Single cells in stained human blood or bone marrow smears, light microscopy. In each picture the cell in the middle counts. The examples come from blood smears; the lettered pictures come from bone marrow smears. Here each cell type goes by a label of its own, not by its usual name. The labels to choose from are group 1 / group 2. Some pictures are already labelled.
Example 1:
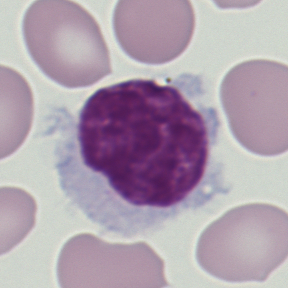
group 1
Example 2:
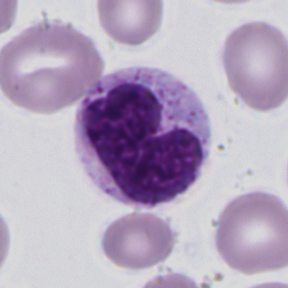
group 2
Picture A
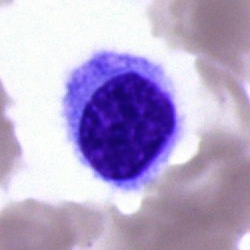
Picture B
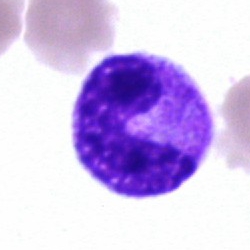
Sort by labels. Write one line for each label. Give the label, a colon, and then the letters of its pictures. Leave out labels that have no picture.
group 1: A
group 2: B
